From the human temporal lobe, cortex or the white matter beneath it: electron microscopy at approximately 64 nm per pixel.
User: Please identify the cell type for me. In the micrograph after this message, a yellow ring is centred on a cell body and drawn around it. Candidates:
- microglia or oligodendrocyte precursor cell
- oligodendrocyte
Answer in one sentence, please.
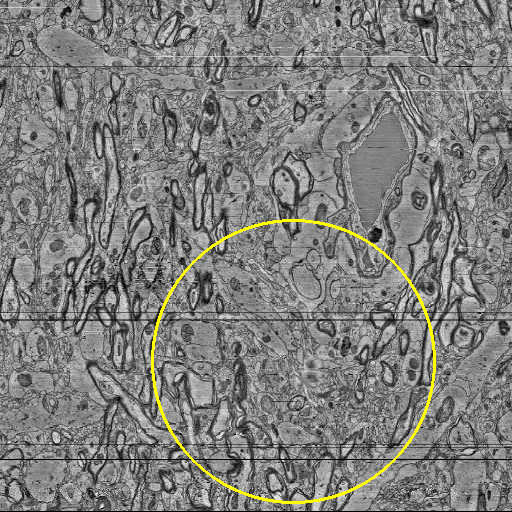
The ring is drawn around the cell body of a microglial cell or oligodendrocyte precursor cell.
